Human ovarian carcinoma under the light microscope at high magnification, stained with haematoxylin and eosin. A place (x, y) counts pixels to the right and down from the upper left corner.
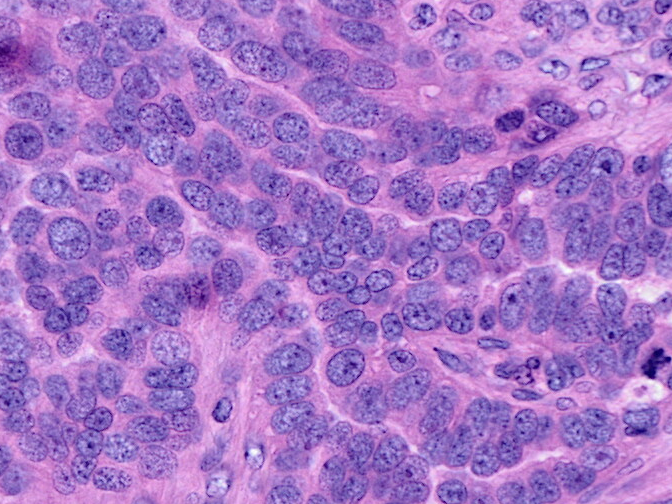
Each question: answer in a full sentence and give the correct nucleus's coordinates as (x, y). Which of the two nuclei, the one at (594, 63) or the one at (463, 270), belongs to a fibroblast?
The member of the pair belonging to a fibroblast is the nucleus at (594, 63).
